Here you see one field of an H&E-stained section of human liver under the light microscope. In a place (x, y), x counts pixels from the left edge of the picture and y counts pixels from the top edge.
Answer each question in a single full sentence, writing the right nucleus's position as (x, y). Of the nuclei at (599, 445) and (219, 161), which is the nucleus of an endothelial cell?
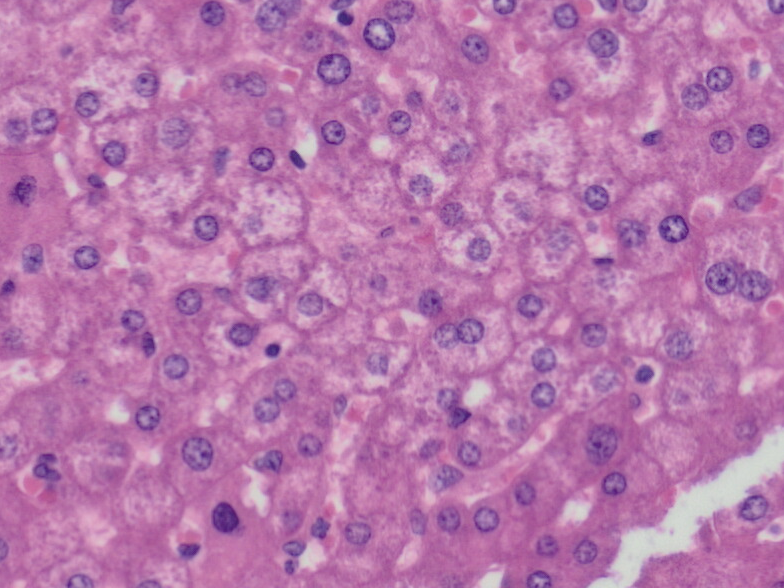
The pair contains one nucleus of an endothelial cell, namely the one at (219, 161).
